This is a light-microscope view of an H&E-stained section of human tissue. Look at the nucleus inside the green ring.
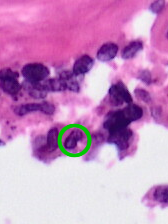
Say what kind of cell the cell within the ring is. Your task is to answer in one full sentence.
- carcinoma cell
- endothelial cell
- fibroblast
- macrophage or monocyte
In terms of identity, the cell within the ring is a macrophage or monocyte.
